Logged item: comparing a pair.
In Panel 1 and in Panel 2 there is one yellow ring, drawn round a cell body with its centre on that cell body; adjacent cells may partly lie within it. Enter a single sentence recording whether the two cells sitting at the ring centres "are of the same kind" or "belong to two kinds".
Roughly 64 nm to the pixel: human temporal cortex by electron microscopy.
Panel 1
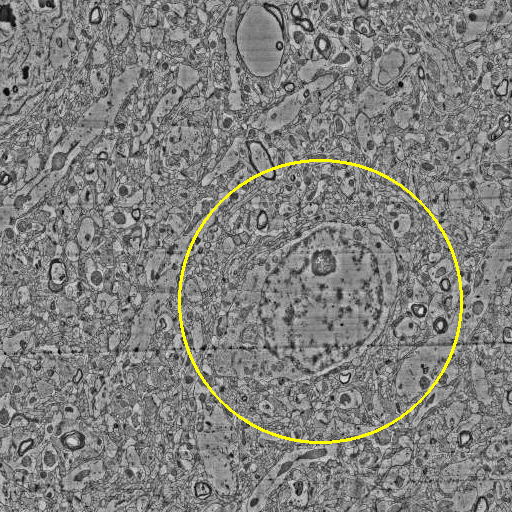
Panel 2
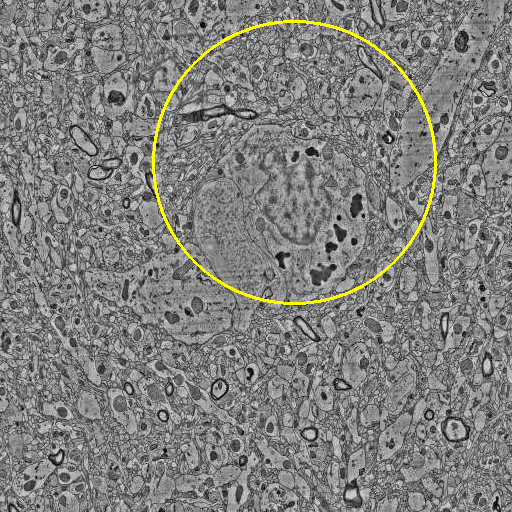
Logged: the cells centred in the rings of Panel 1 and Panel 2 are of the same kind.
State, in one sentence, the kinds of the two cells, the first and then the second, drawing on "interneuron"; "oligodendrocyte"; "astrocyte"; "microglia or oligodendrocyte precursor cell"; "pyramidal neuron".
Each of the two rings surrounds an interneuron.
